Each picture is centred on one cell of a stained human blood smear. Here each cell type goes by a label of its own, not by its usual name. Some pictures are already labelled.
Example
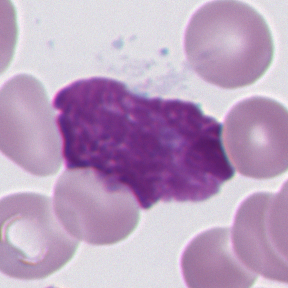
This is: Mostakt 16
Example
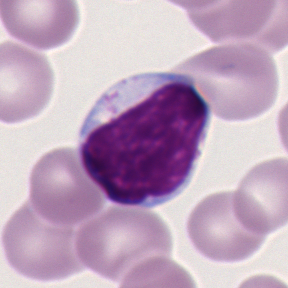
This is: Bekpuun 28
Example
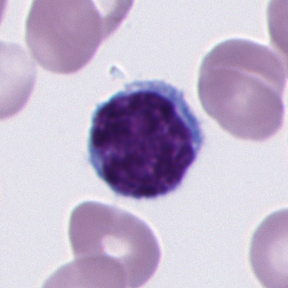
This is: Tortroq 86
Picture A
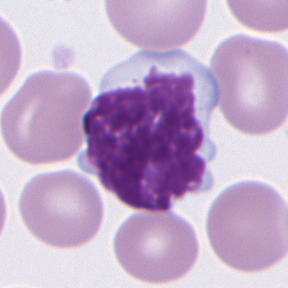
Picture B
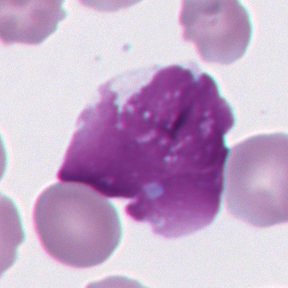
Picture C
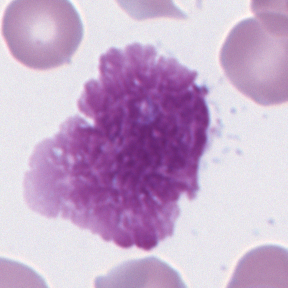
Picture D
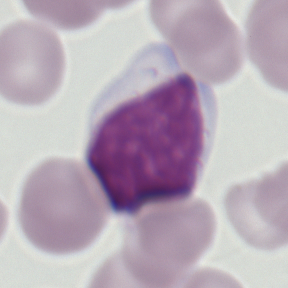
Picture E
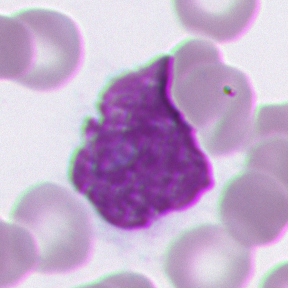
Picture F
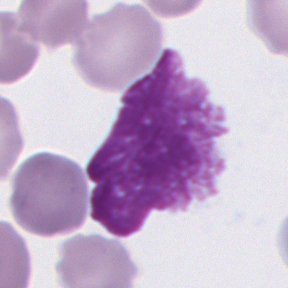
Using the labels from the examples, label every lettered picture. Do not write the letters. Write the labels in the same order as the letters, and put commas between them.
Tortroq 86, Mostakt 16, Mostakt 16, Bekpuun 28, Mostakt 16, Mostakt 16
